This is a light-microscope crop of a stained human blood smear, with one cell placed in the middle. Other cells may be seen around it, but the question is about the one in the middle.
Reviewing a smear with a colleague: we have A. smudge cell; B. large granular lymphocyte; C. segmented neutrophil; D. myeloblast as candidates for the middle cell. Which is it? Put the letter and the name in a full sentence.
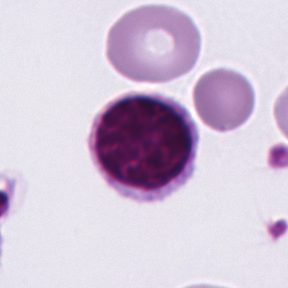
The cell in the middle is correctly identified as a large granular lymphocyte in option B.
